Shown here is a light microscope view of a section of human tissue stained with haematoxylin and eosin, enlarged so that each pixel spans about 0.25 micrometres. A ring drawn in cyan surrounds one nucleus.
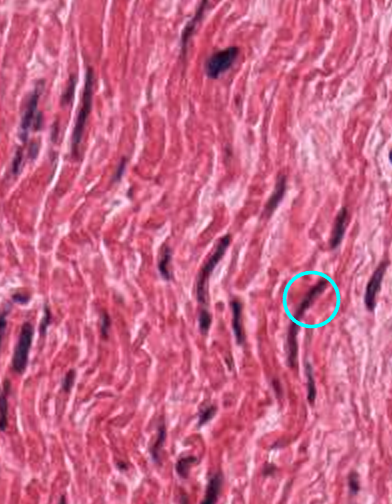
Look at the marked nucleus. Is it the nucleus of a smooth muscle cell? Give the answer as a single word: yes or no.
yes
